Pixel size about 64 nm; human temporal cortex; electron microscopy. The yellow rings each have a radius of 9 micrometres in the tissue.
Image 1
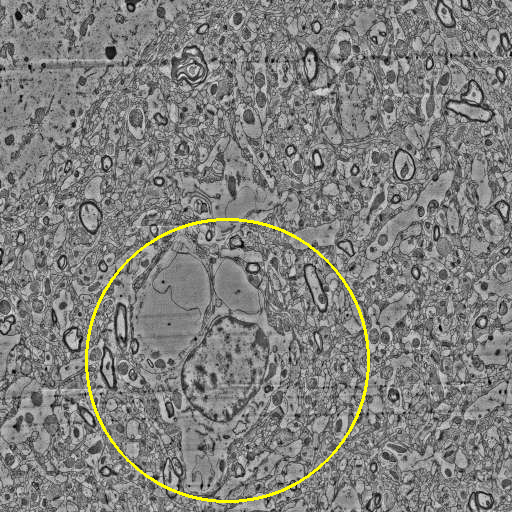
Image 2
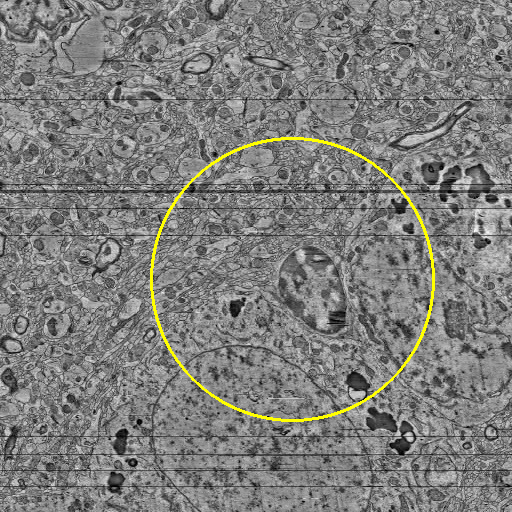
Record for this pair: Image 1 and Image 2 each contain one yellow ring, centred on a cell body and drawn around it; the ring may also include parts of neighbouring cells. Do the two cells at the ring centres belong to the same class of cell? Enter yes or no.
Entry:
yes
